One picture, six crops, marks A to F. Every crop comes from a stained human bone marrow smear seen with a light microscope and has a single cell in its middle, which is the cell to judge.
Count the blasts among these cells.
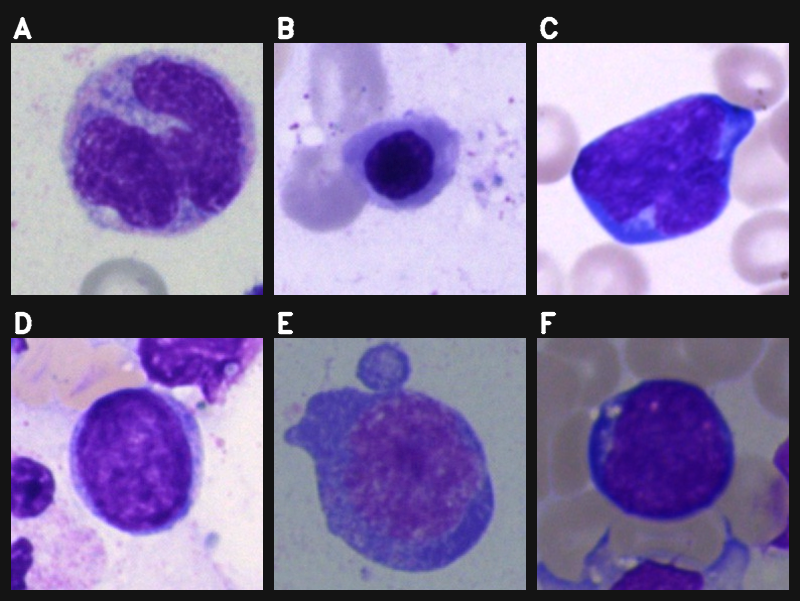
4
